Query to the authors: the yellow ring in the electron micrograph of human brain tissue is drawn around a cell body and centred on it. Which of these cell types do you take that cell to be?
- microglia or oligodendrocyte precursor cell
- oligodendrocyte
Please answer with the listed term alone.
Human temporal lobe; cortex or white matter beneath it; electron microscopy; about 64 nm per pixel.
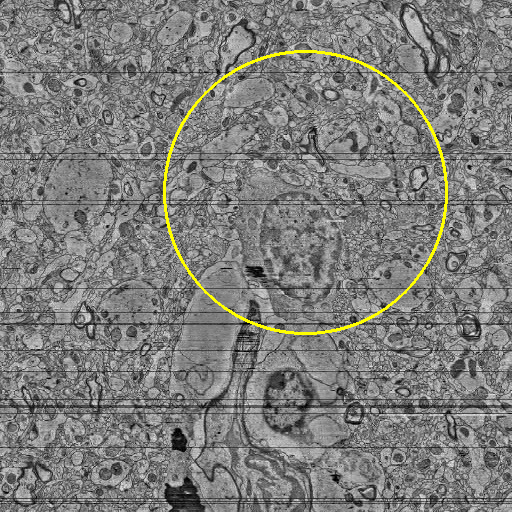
oligodendrocyte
